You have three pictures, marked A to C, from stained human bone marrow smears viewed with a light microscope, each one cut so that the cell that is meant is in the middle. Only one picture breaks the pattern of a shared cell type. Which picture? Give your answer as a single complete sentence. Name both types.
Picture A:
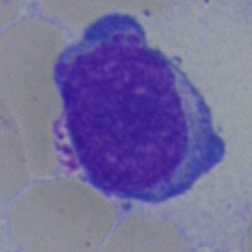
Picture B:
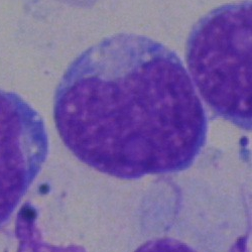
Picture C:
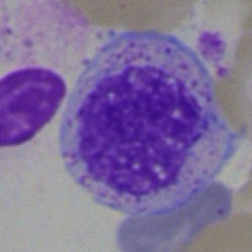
Picture C is the odd one out: it shows a myelocyte, while the others show blasts.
